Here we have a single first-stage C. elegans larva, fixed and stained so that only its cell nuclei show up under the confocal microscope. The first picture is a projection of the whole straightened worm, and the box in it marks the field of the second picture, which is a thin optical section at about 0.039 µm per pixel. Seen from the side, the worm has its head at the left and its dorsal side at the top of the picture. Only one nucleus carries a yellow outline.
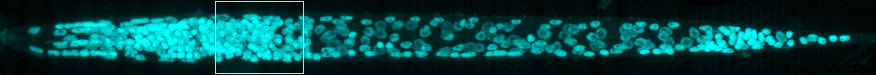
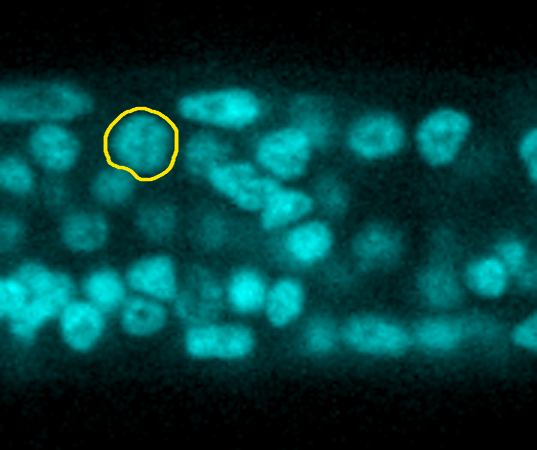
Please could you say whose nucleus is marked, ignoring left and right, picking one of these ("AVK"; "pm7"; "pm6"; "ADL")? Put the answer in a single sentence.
It is the nucleus of ADL, a neuron.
